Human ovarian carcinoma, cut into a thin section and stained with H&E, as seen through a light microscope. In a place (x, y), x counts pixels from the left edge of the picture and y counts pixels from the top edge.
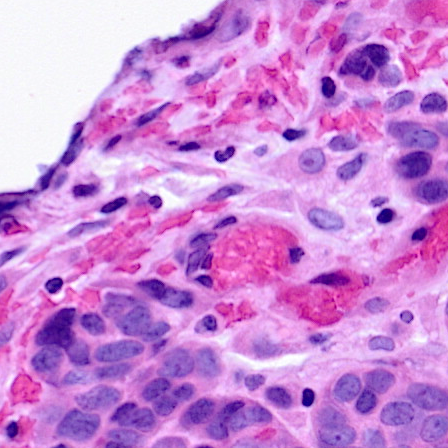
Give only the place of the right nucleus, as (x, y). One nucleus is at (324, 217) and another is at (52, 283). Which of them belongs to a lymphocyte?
(52, 283)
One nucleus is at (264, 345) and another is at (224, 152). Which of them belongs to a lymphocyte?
(224, 152)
